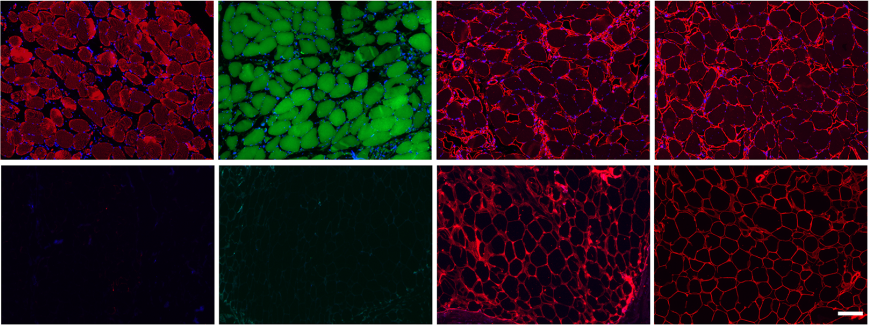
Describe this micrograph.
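These are cross-sections of skeletal muscle, with closely packed, polygonal muscle fibres cut across. In the upper row the fibres are filled with red or green stain, and small blue nuclei sit in the narrow spaces between them. Where only the fibre borders are stained, a fine red honeycomb outlines every fibre. In the lower row the fibre interiors are dark and empty, and blue nuclei are no longer seen. Yet the red honeycomb of fibre outlines is still present, keeping the same polygonal pattern as the intact tissue.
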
